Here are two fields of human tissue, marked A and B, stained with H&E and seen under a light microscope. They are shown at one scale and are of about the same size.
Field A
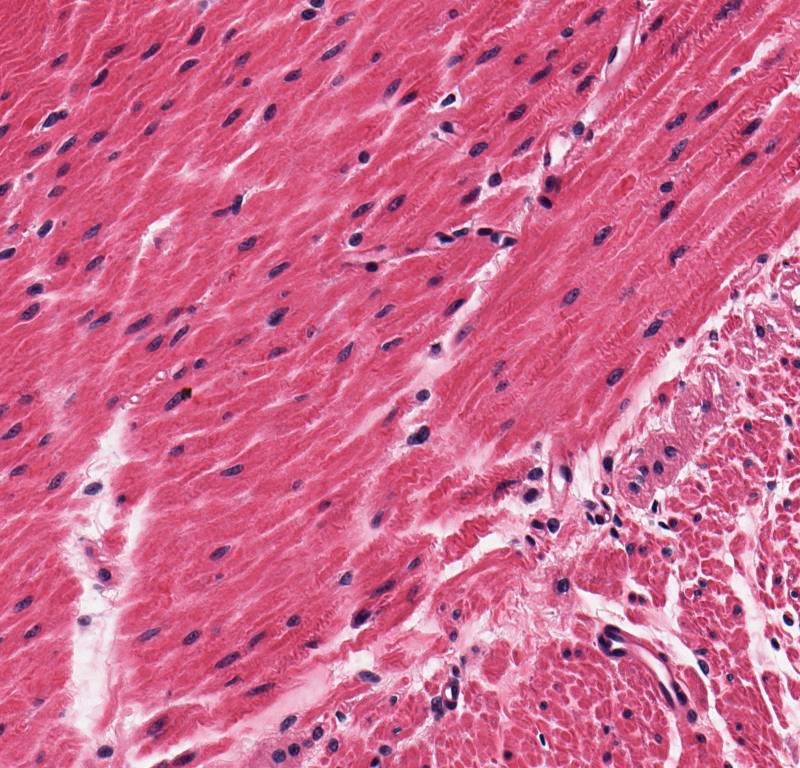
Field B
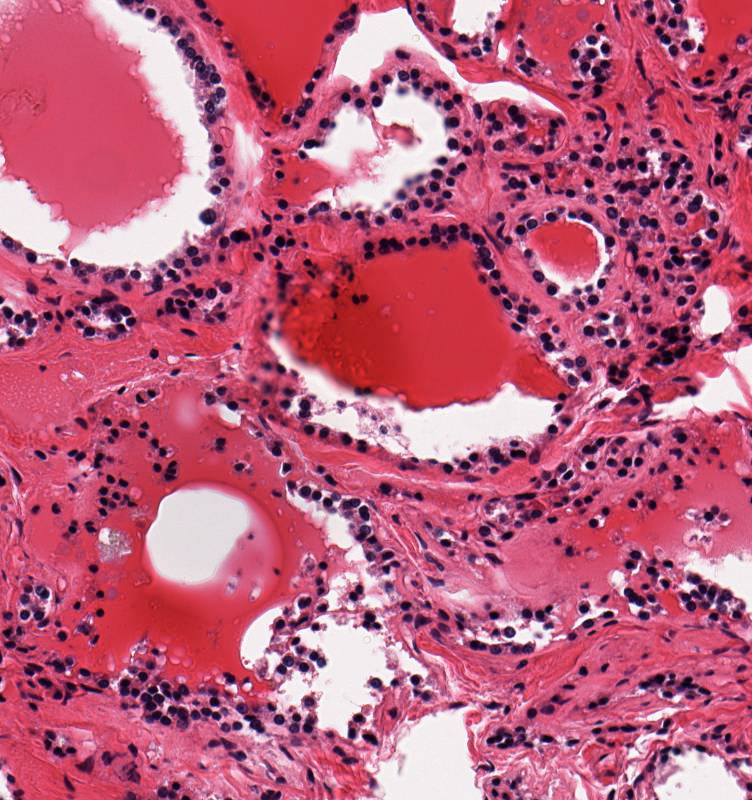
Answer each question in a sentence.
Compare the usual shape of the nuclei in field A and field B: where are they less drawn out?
The nuclei are rounder in field B.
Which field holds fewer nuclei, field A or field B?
It is field A that has fewer nuclei in it.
